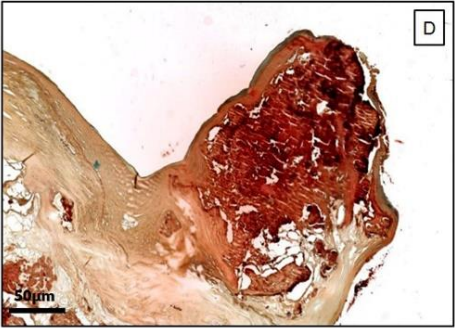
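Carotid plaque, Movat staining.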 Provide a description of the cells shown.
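A dome-shaped mass rises above pale, layered fibrous tissue, filled with dense red-brown material broken by many small cracks and clefts. Its surface is covered by a thin tan rim.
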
